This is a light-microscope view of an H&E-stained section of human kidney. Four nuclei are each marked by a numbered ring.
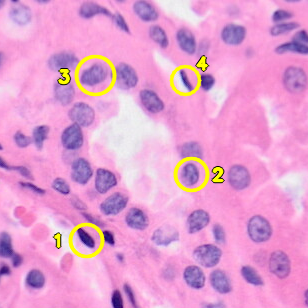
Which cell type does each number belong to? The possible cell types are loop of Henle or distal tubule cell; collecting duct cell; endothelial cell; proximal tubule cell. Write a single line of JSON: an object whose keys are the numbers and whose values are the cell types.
{"1": "endothelial cell", "2": "loop of Henle or distal tubule cell", "3": "loop of Henle or distal tubule cell", "4": "endothelial cell"}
